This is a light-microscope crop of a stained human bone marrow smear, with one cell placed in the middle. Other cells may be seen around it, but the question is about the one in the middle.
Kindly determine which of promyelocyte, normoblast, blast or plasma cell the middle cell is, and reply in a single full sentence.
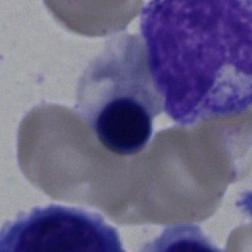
In the crop, the cell of interest at the centre is a normoblast.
